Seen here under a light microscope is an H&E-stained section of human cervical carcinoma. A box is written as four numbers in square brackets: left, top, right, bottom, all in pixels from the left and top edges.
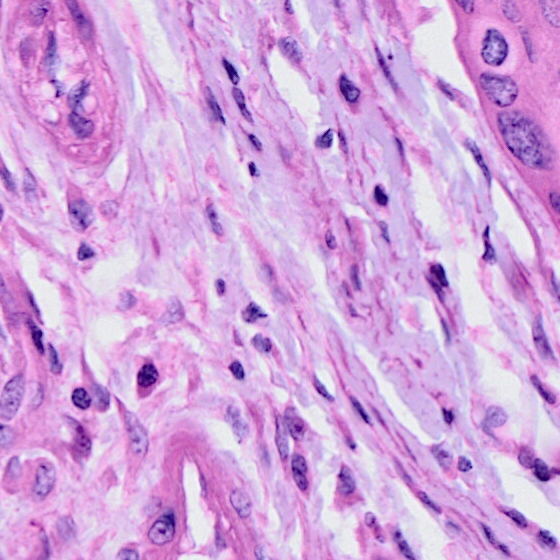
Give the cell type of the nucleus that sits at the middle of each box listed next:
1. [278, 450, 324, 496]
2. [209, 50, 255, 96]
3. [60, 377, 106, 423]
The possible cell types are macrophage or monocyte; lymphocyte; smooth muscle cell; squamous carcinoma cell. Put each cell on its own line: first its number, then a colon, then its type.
1: macrophage or monocyte
2: lymphocyte
3: lymphocyte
